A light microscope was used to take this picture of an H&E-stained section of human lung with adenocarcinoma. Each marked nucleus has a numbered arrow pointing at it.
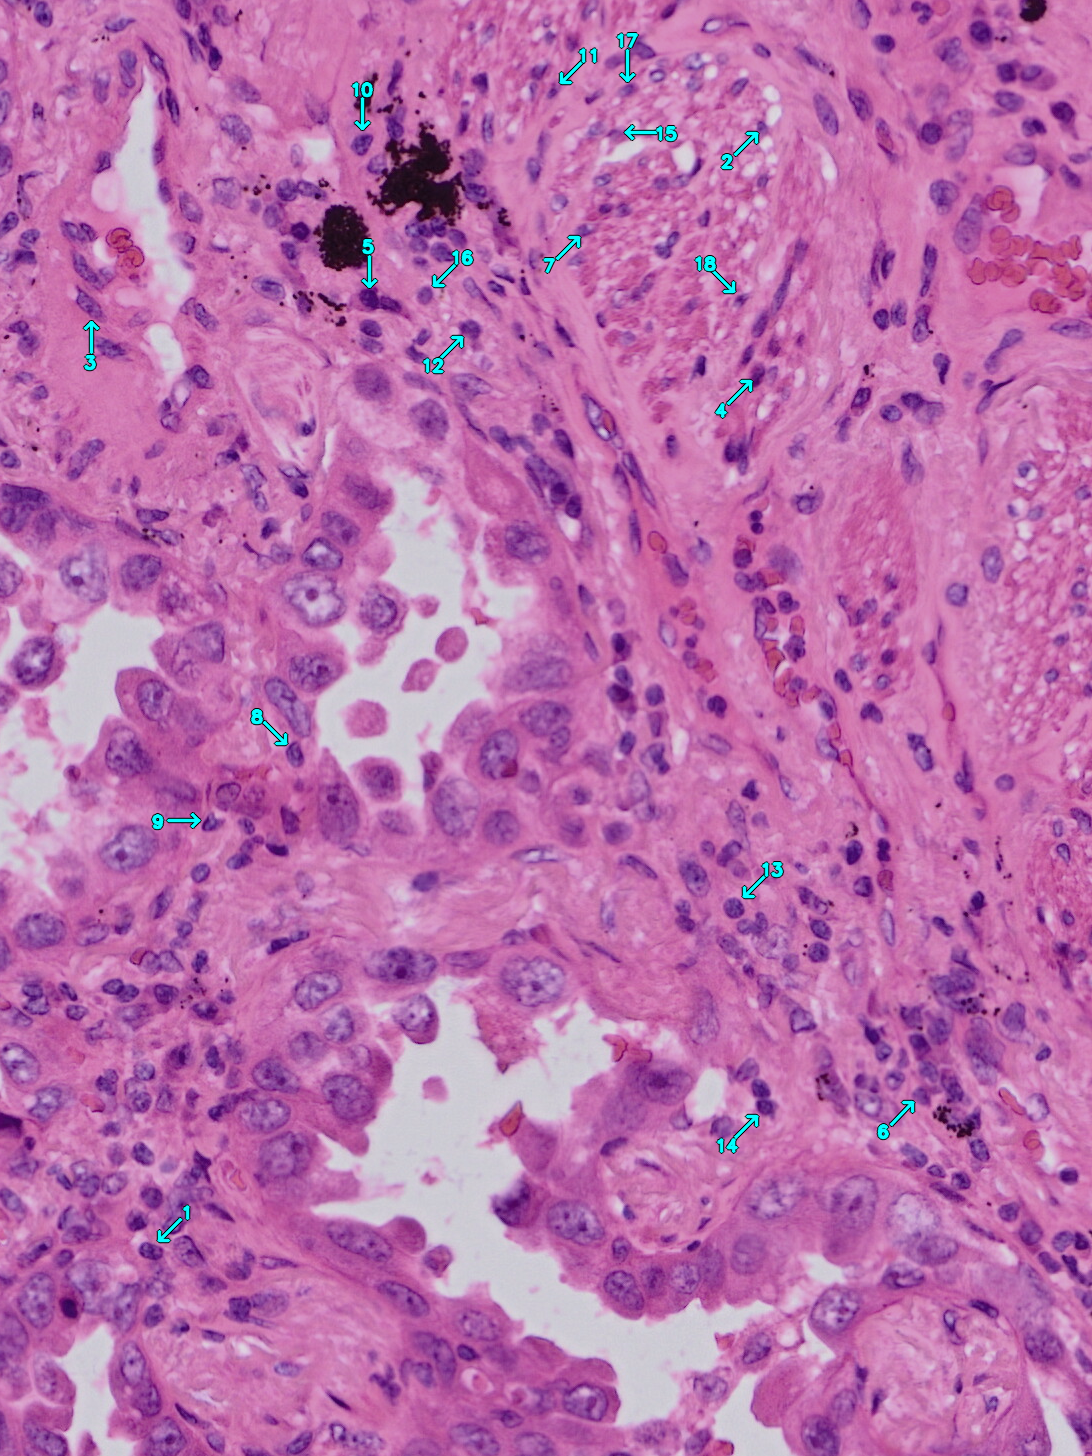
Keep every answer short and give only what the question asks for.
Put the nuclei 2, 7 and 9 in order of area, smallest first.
2, 7, 9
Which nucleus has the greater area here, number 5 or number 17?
5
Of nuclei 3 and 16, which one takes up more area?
3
